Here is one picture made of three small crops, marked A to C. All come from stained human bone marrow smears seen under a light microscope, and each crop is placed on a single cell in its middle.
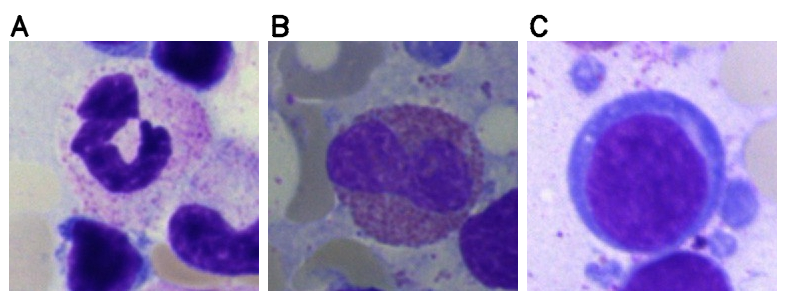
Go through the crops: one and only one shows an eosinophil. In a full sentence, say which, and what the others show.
The cell sitting in crop B is an eosinophil, while crop A is a segmented neutrophil and crop C is a blast.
